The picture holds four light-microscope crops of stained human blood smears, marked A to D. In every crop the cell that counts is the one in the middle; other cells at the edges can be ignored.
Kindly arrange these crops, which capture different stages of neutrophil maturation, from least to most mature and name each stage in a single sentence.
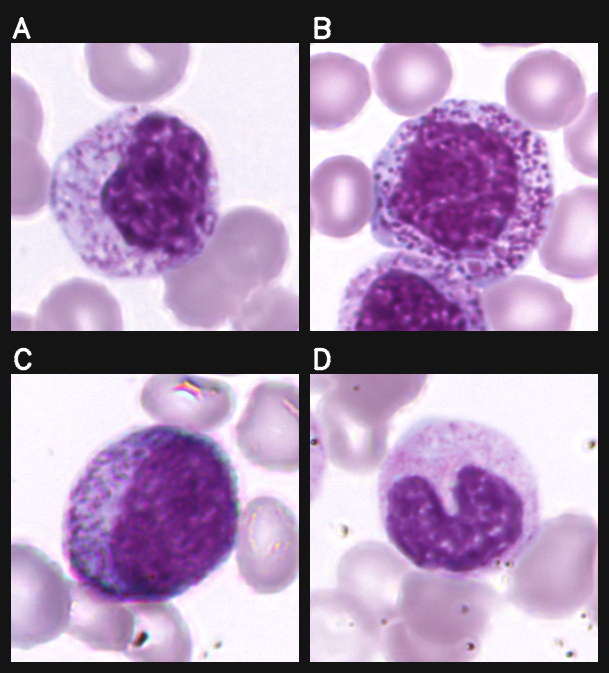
The right order here, from least to most mature, is crop C (a promyelocyte), crop B (a myelocyte), crop A (a metamyelocyte) and crop D (a band neutrophil).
